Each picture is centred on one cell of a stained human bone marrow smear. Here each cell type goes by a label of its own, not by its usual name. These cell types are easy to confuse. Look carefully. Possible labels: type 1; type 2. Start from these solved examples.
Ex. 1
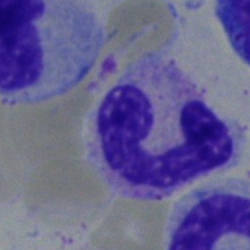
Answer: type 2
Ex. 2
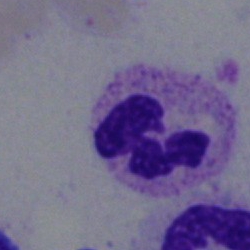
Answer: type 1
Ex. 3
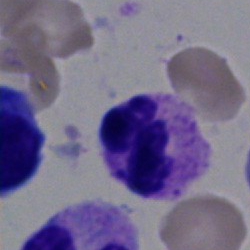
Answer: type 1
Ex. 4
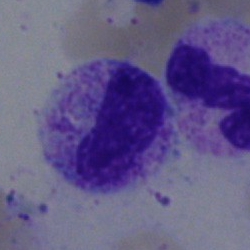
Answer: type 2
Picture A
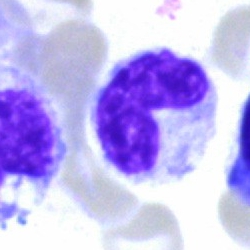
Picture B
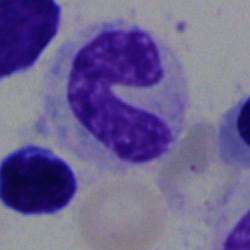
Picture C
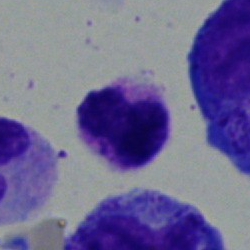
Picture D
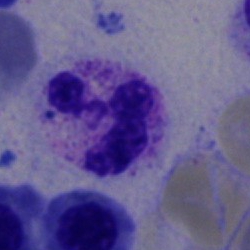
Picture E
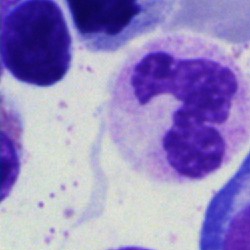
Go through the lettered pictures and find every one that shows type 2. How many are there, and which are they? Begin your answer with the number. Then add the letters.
Count: 2 (A, B)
